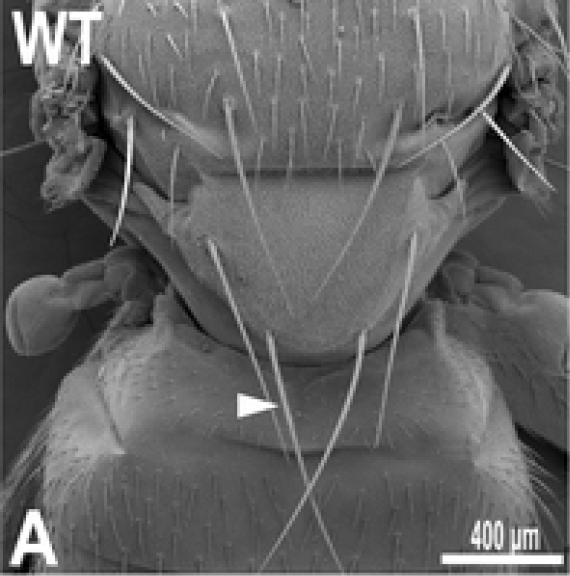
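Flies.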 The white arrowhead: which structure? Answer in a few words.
bristle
